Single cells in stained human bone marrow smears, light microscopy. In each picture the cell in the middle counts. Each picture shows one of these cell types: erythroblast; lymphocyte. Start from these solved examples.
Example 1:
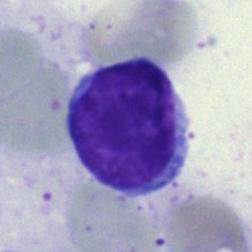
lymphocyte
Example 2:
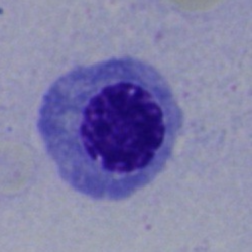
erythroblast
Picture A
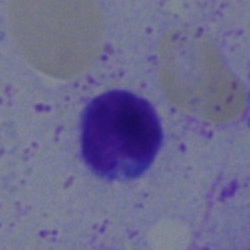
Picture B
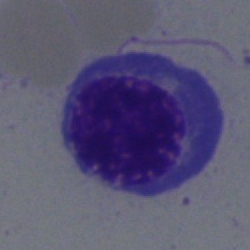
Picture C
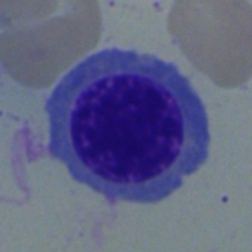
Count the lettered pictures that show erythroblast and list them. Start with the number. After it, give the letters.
Count: 2 (B, C)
